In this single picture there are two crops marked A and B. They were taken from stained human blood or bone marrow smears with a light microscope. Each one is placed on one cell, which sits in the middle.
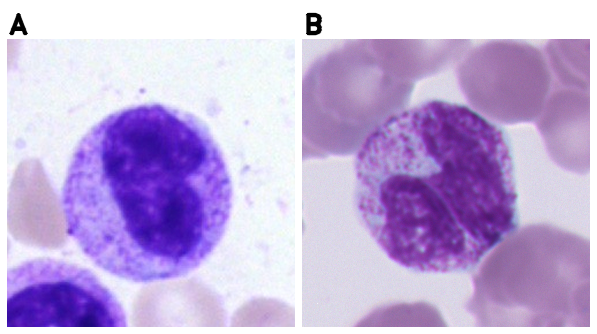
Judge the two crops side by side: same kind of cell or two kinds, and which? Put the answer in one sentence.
No, a metamyelocyte is what occupies crop A, and a band neutrophil is what occupies crop B.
